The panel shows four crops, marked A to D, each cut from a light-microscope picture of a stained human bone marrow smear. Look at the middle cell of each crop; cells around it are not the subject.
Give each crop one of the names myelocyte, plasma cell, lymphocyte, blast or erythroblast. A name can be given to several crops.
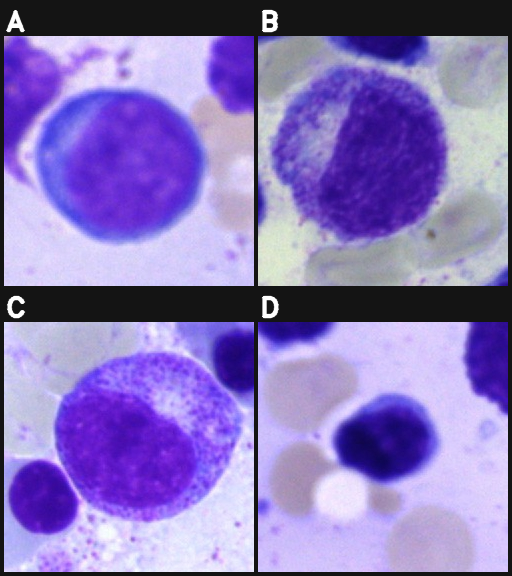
A: blast
B: myelocyte
C: myelocyte
D: lymphocyte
